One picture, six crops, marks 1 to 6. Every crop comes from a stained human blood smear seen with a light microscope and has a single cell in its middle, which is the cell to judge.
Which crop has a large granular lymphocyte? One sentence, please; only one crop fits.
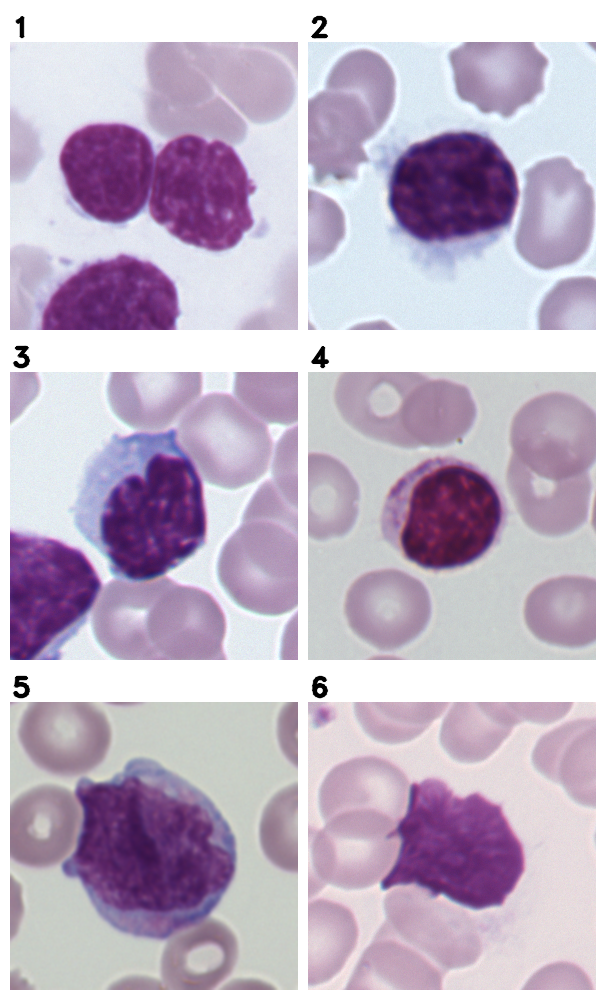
Among the crops, only crop 4 contains a large granular lymphocyte.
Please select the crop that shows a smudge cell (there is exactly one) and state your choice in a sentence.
The crop bearing a smudge cell is crop 6.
